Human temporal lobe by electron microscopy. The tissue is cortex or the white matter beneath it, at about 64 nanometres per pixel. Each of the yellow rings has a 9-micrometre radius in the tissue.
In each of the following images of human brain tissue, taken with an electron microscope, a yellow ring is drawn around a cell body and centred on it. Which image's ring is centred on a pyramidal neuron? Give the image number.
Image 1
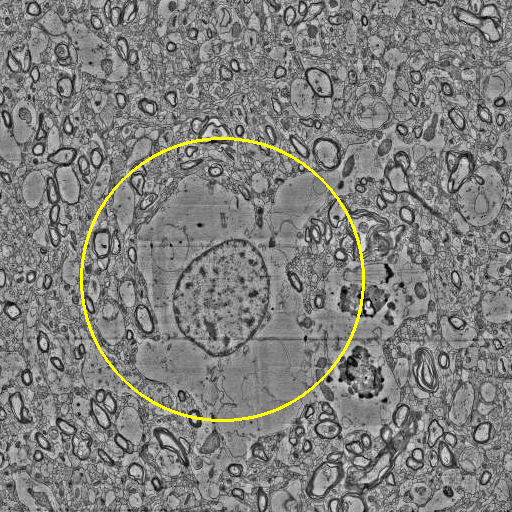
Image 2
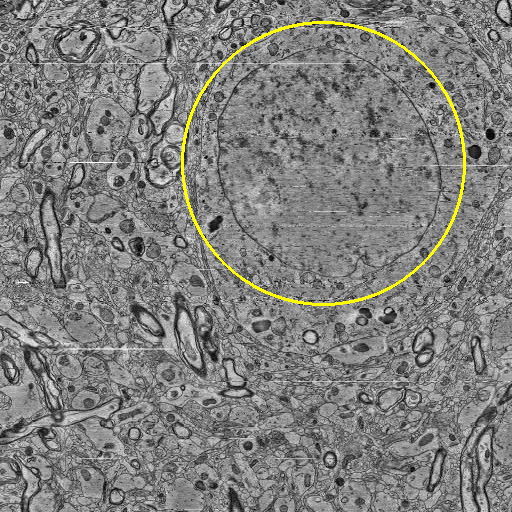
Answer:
2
